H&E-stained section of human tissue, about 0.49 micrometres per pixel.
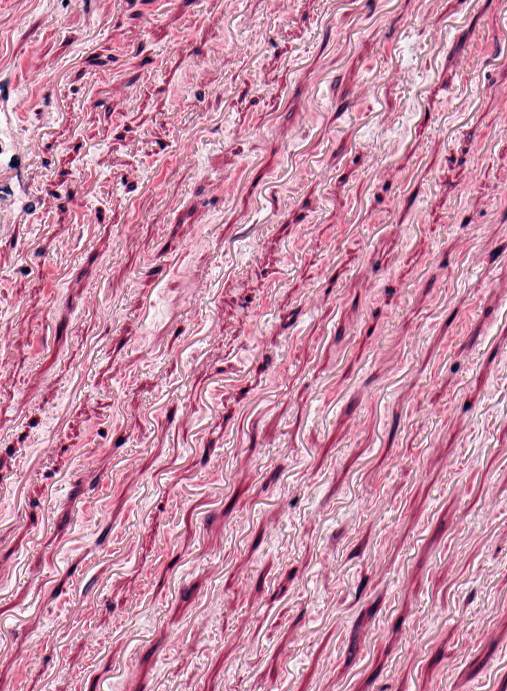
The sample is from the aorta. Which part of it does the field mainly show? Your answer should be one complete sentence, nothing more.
The structure this section shows is tunica media.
